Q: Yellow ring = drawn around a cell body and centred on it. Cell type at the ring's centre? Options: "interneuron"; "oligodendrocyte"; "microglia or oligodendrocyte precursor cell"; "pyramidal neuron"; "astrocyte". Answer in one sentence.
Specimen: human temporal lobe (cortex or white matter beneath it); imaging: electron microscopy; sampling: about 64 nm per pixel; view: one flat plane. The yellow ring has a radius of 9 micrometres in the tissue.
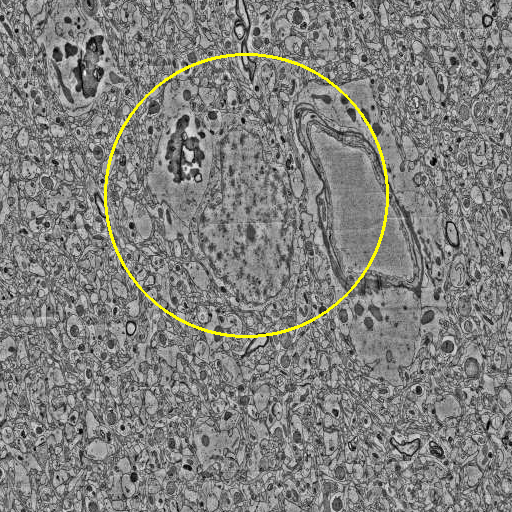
Centred in the ring is an interneuron.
